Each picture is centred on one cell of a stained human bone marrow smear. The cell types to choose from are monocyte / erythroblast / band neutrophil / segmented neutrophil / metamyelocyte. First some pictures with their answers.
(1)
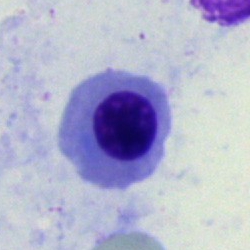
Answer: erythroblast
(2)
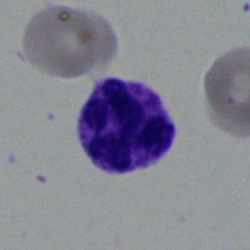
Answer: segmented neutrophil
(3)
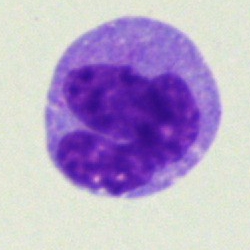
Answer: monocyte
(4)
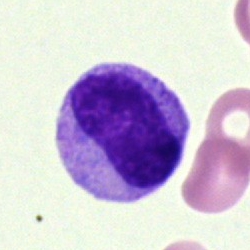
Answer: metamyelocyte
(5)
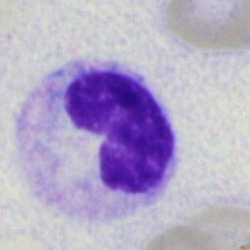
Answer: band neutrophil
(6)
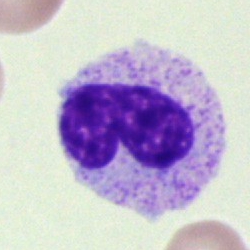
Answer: metamyelocyte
